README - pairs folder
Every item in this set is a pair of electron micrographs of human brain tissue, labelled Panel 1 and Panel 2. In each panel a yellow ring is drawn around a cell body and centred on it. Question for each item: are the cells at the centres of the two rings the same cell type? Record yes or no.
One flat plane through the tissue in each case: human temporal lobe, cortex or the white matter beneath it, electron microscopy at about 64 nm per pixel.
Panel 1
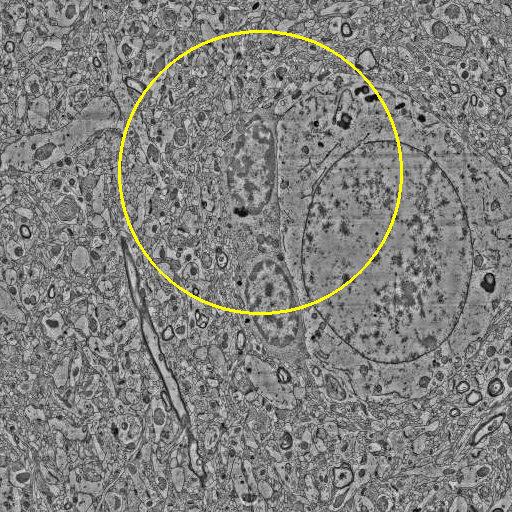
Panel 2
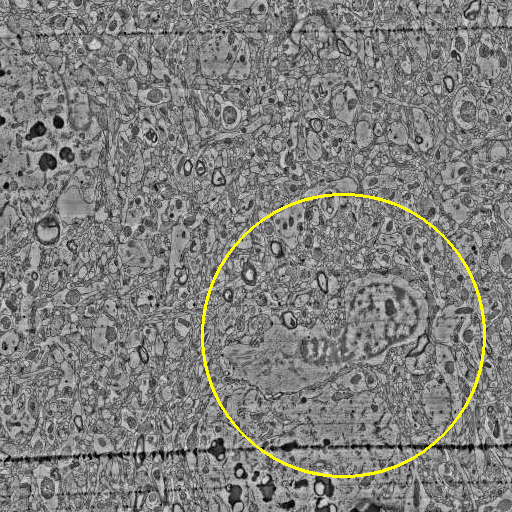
no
